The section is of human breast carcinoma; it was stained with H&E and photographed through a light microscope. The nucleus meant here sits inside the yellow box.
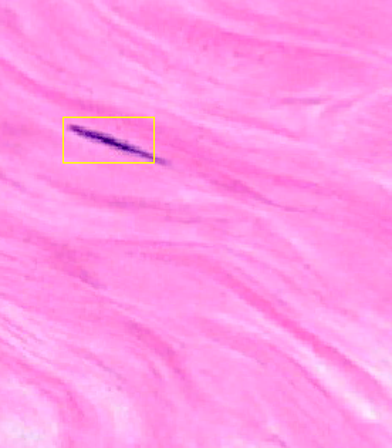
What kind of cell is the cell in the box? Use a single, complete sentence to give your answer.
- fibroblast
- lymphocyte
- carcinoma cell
Recorded by type, the cell in the box is a fibroblast.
